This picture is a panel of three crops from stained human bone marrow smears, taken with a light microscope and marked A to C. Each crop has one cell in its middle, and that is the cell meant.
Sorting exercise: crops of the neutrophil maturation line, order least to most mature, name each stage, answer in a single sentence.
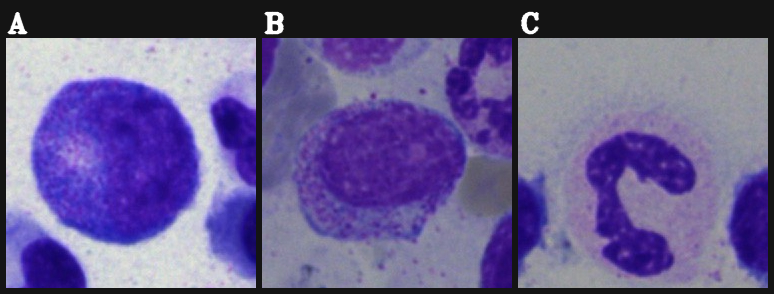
Ordered least to most mature, the series reads crop A (a promyelocyte), crop B (a myelocyte) and crop C (a segmented neutrophil).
